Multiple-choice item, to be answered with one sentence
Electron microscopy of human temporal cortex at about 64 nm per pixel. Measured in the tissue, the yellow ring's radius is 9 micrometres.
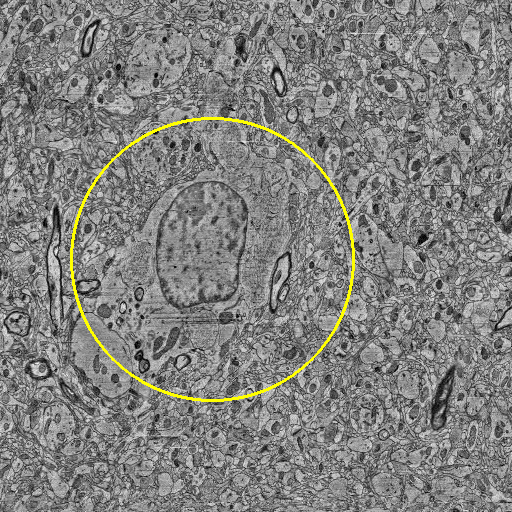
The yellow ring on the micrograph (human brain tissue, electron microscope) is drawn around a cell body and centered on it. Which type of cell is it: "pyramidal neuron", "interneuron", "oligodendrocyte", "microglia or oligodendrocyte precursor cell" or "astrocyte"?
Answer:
The ring is centered on an astrocyte.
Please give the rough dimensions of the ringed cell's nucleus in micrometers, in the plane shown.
Clearly longer than it is wide in this plane, the nucleus measures roughly 9 by 6 micrometres.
